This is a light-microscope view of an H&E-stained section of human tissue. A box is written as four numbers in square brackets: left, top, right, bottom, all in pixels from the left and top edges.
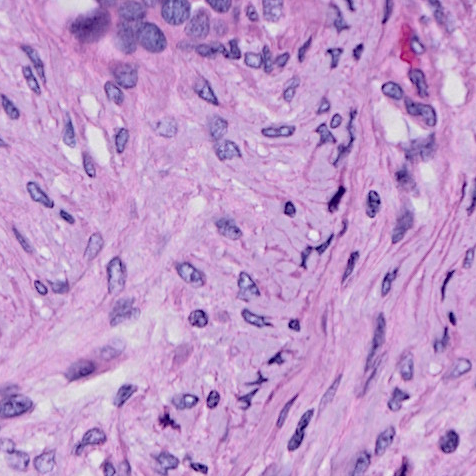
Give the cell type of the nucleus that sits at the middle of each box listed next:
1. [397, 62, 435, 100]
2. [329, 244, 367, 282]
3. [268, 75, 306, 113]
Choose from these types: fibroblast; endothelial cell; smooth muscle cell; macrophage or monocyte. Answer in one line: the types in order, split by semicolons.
endothelial cell; fibroblast; fibroblast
